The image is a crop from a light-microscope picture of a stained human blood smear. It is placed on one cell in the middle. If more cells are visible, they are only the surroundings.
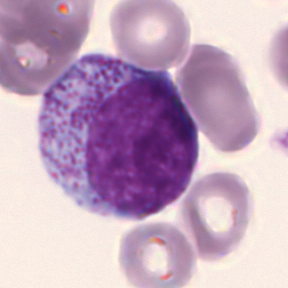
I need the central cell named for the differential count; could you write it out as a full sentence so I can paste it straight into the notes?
The cell at the centre of the field is a promyelocyte.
